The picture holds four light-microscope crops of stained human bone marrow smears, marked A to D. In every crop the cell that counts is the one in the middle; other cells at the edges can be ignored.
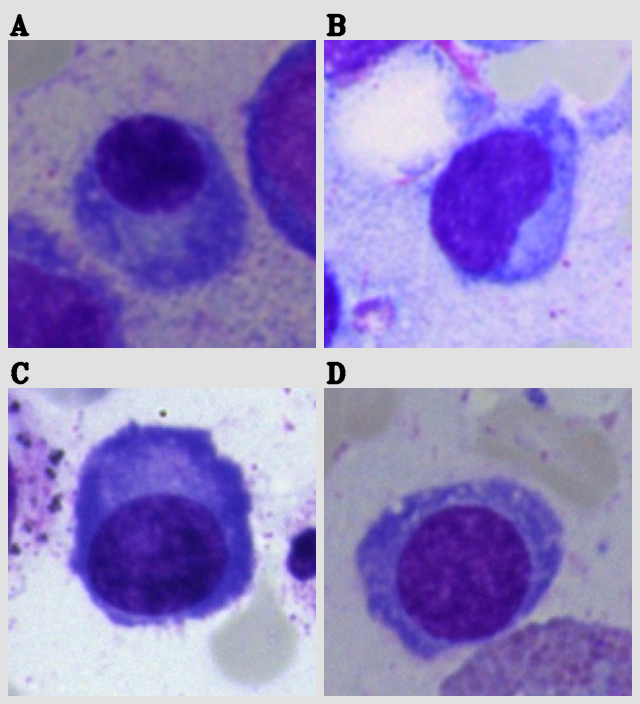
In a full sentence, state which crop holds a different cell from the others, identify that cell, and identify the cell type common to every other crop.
All the crops show plasma cells, barring crop B, which is a hairy cell.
